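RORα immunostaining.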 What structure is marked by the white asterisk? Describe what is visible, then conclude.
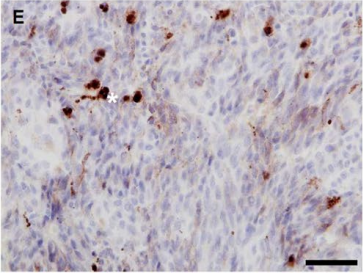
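The asterisk marks a few small dark brown granular clumps.
Conclusion: melanin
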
